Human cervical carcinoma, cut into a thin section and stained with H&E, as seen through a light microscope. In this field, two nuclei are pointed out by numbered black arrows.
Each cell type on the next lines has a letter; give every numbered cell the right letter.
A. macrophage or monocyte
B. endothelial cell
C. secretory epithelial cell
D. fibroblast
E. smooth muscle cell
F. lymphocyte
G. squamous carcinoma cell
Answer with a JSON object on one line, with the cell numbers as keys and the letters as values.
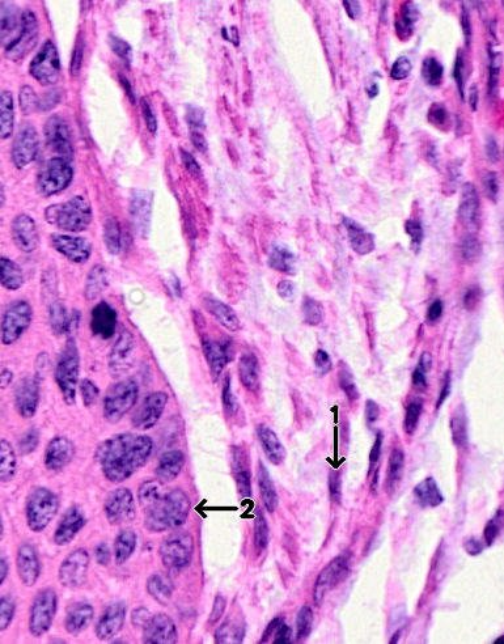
{"1": "D", "2": "G"}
